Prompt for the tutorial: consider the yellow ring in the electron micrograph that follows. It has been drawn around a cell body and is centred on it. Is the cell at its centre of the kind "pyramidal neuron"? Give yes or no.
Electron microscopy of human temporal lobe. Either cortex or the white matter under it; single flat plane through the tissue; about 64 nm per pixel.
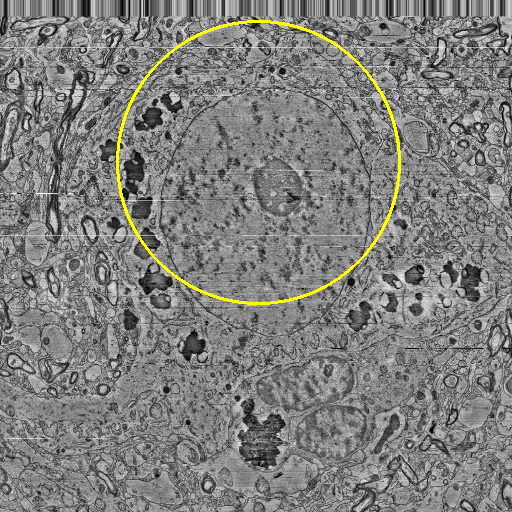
yes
